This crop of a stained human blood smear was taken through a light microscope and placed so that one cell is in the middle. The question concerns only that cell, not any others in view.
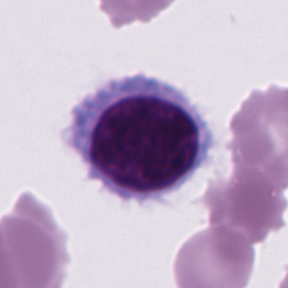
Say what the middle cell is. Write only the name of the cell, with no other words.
hairy cell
